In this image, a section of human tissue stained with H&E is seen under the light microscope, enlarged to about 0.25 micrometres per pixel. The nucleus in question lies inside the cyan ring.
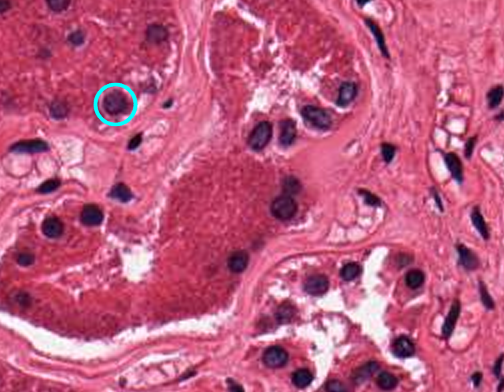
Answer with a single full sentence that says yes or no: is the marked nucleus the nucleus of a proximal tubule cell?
Yes, the marked nucleus is one belonging to a proximal tubule cell.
